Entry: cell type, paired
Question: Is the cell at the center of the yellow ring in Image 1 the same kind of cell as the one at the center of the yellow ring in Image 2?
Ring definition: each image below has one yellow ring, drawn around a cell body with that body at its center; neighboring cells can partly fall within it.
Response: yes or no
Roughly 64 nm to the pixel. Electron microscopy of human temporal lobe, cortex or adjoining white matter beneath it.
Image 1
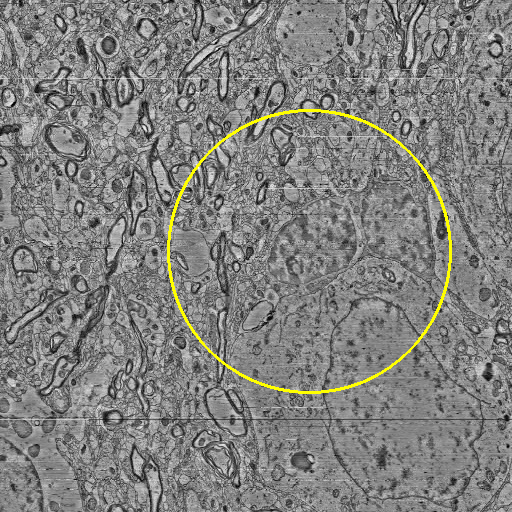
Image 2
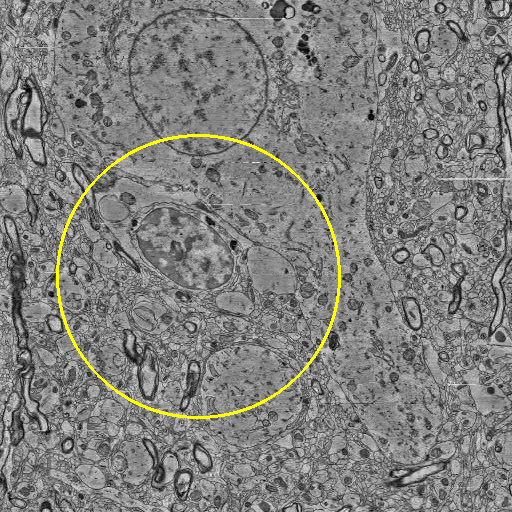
no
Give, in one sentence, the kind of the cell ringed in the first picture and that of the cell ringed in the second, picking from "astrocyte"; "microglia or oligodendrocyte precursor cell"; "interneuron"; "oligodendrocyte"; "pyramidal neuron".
For the first picture it is an oligodendrocyte; for the second, a microglial cell or oligodendrocyte precursor cell.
